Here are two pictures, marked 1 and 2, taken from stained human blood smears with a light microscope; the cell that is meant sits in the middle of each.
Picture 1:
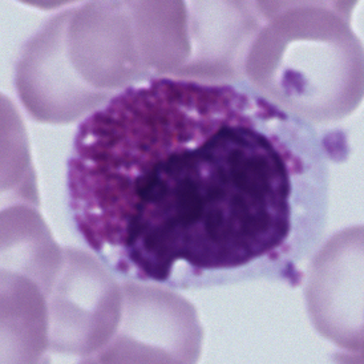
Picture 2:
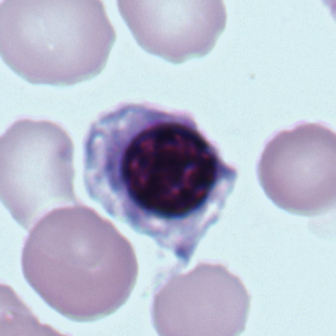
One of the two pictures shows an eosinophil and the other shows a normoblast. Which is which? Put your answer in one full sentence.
It is picture 1 that shows an eosinophil, and picture 2 that shows a normoblast.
